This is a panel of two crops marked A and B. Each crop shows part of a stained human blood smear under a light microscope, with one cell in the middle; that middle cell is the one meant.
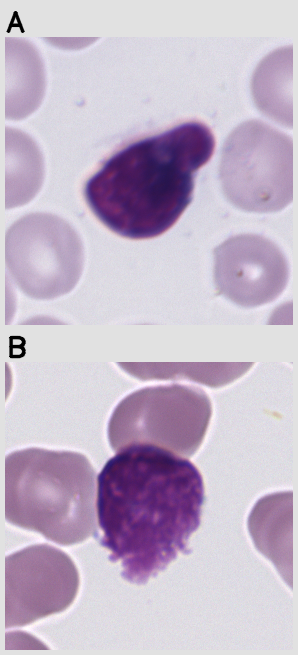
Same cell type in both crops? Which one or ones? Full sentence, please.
Yes, smudge cells are the central cells in the two crops.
